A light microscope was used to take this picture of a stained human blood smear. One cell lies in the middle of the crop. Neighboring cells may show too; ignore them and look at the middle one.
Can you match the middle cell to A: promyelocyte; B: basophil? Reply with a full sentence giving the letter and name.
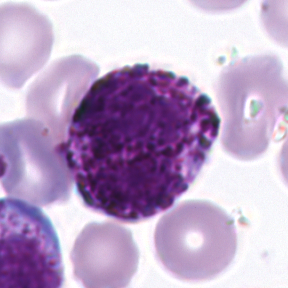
In this crop the middle cell is a basophil, so option B is the correct answer.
